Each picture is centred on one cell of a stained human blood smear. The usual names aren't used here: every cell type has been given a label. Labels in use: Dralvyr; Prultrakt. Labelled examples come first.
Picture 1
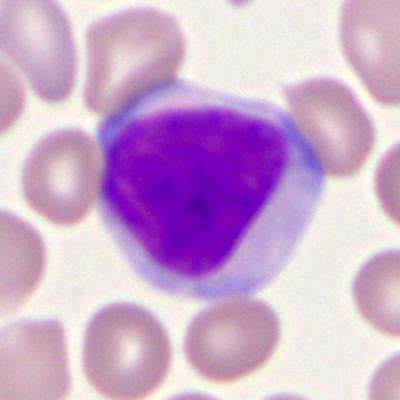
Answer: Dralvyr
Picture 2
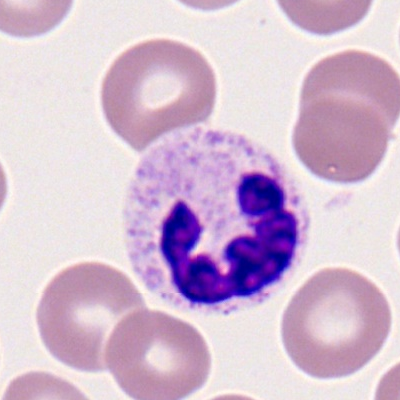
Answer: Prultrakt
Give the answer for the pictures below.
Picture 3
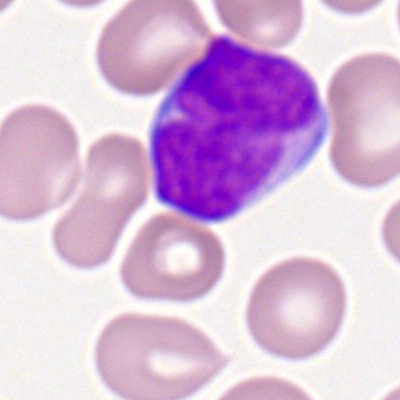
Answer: Dralvyr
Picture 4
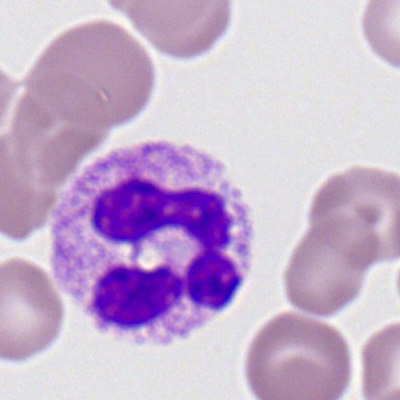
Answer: Prultrakt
